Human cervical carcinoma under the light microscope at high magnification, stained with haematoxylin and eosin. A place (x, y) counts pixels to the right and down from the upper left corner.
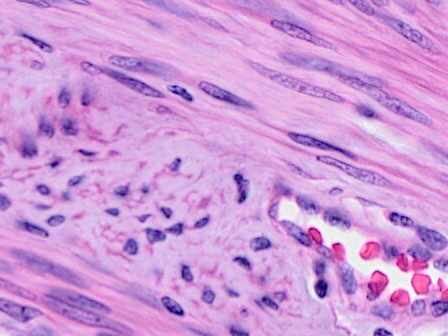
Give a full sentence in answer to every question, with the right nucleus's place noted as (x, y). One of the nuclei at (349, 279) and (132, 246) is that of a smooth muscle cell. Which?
It is at (132, 246) that the nucleus of a smooth muscle cell is found.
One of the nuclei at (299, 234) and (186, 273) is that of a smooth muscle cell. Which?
It is the nucleus at (186, 273) that forms part of a smooth muscle cell.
